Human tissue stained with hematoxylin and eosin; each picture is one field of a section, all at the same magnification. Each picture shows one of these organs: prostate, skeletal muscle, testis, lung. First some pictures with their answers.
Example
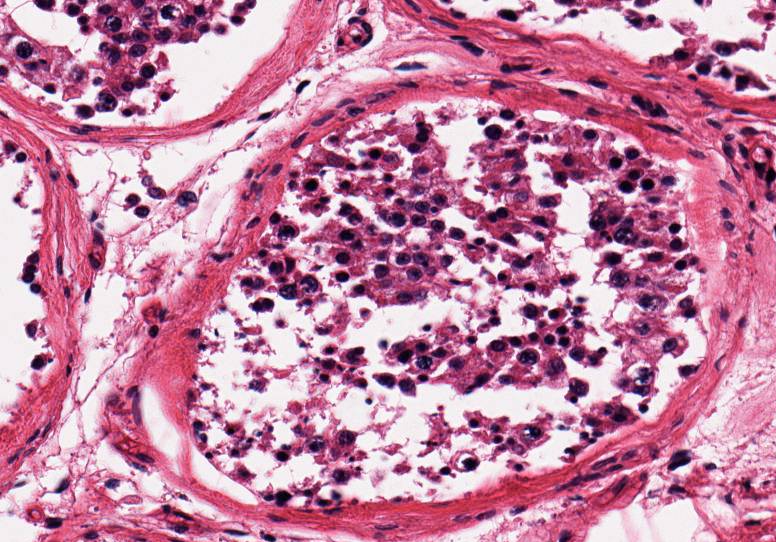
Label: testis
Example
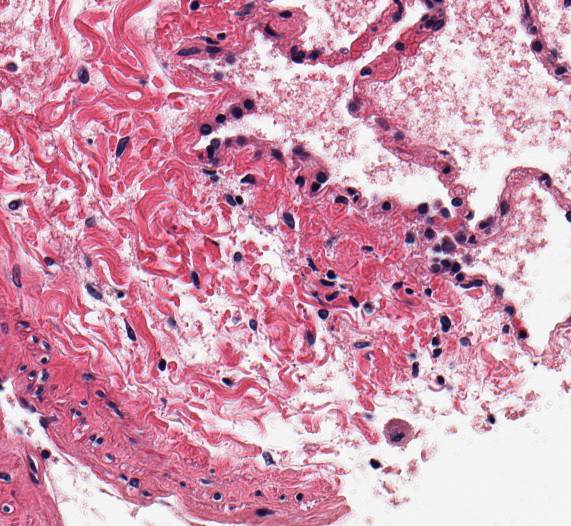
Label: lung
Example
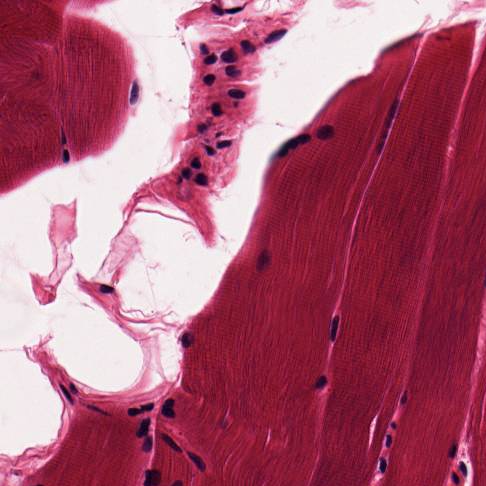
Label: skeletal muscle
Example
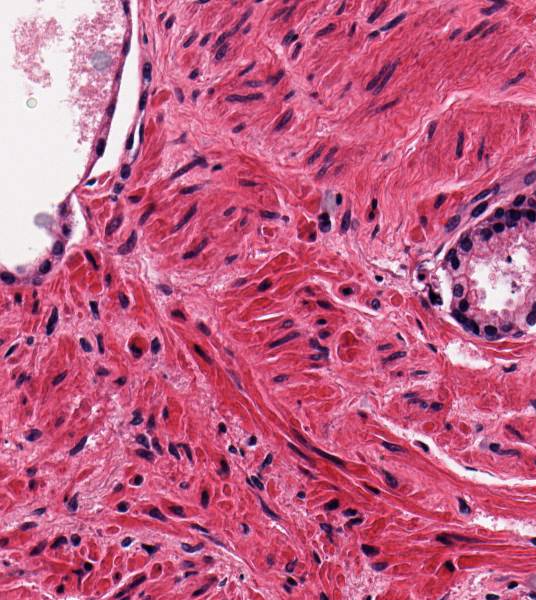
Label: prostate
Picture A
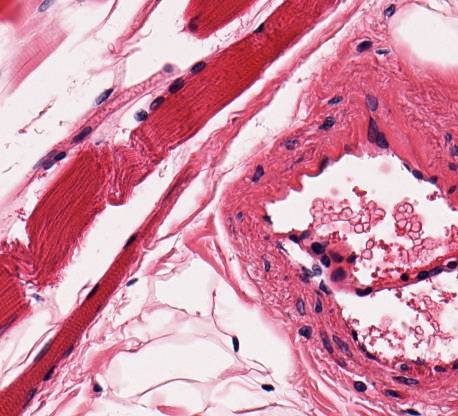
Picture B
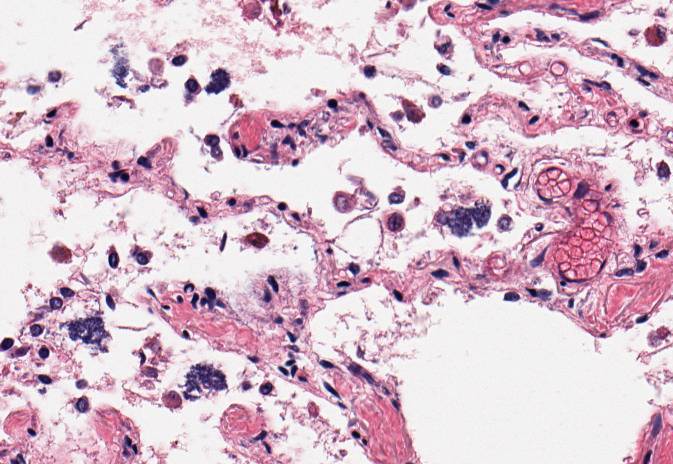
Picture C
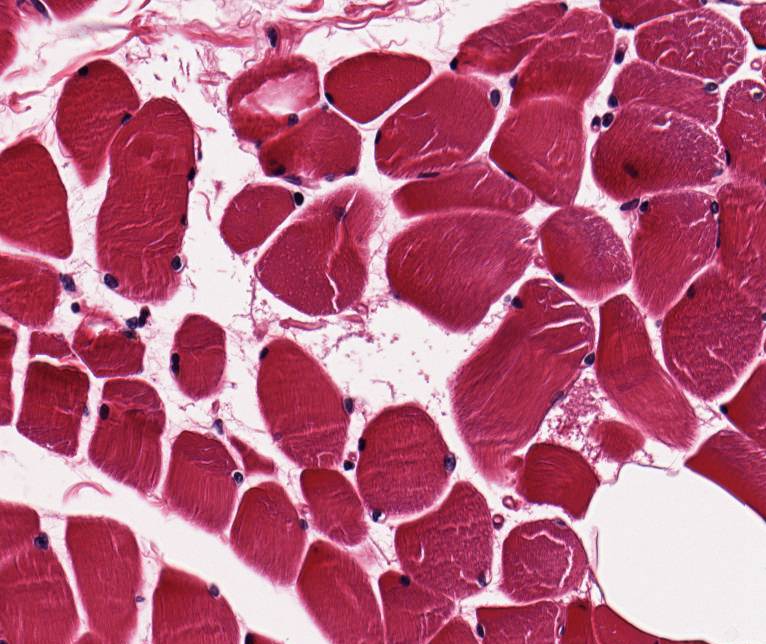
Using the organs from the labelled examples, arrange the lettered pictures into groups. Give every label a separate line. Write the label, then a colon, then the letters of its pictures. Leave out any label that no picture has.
skeletal muscle: A, C
lung: B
